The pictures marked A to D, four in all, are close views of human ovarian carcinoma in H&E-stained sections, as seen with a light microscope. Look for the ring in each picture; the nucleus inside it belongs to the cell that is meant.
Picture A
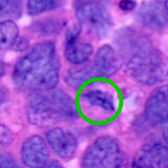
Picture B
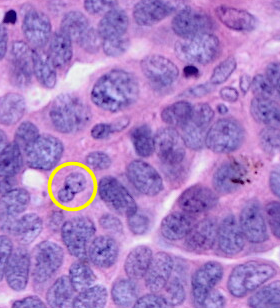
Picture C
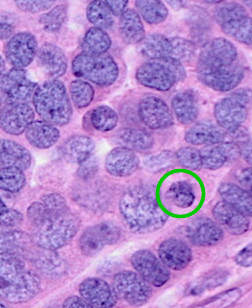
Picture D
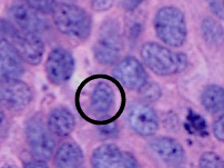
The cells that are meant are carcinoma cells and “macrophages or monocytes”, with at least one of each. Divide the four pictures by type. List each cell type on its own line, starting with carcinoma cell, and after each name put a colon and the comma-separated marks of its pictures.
carcinoma cell: D
macrophage or monocyte: A, B, C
